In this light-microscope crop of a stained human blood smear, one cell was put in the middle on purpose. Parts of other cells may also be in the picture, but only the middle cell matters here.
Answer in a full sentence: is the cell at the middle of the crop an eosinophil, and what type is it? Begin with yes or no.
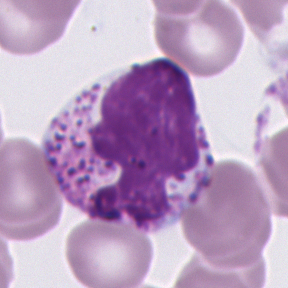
No, the central cell is not an eosinophil; it is a basophil instead.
